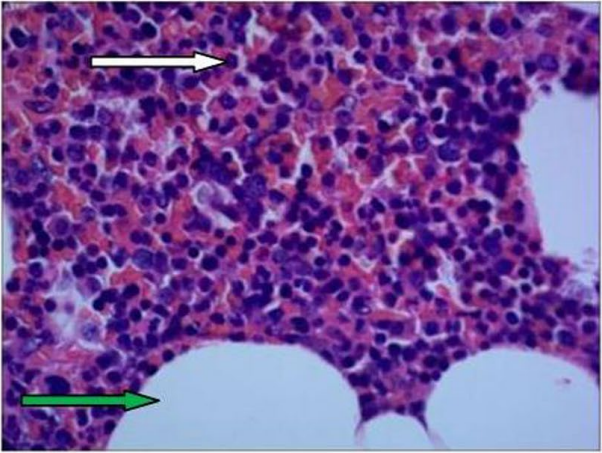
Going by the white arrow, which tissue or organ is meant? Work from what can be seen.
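Densely packed small round cells with dark purple nuclei fill the area at the arrow. Pink-red red blood cells lie scattered between the nucleated cells. The cell population is mixed, with nuclei of varying size and shape.
Conclusion: mature hematopoietic tissue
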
